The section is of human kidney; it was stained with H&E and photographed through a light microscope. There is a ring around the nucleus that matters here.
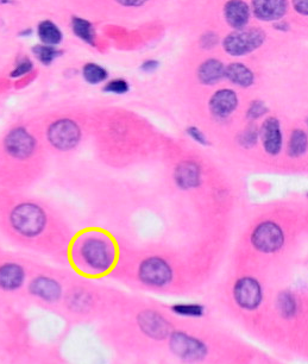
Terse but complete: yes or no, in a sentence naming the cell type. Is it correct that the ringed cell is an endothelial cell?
No, the ringed cell is classed as a proximal tubule cell, not as an endothelial cell.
